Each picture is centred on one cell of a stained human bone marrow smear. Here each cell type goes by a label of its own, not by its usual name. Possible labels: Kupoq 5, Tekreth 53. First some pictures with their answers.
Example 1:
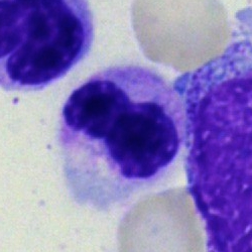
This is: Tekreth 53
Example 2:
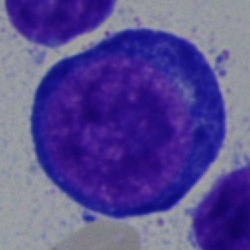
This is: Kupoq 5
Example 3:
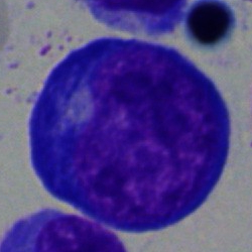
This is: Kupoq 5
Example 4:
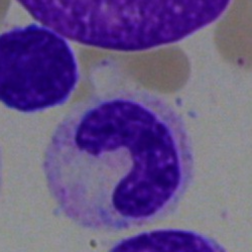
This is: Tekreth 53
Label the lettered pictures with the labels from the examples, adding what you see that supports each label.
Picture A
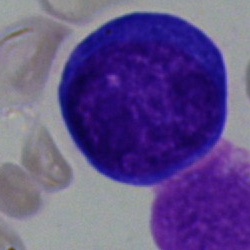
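Kupoq 5. Evidence: The chromatin is fine-grained rather than gathered into coarse dark blocks.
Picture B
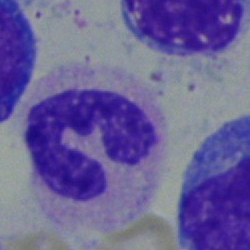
Tekreth 53. Evidence: The cytoplasm is abundant and pale pinkish-lilac.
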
